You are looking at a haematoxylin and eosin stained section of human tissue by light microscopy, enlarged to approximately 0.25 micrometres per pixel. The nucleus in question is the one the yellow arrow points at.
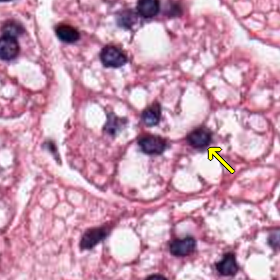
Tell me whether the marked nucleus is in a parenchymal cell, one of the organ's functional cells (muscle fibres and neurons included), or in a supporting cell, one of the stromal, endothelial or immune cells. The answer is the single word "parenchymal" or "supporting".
parenchymal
